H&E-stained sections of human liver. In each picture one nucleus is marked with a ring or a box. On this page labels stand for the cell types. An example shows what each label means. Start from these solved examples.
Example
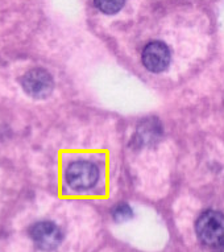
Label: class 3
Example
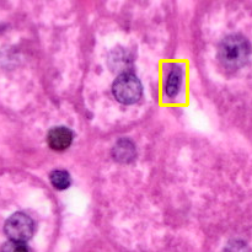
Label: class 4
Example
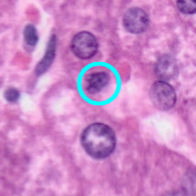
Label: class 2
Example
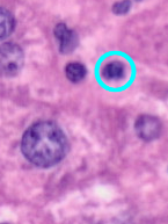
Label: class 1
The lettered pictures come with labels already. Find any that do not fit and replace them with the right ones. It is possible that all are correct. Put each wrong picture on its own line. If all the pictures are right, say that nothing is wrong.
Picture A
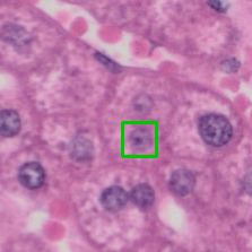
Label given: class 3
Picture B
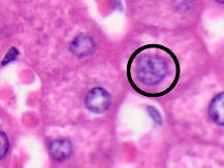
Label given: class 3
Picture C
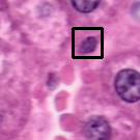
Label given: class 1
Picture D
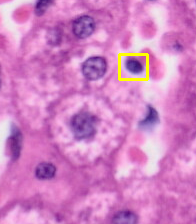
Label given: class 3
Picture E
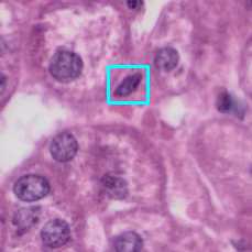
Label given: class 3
D: not class 3 but class 1
E: not class 3 but class 2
